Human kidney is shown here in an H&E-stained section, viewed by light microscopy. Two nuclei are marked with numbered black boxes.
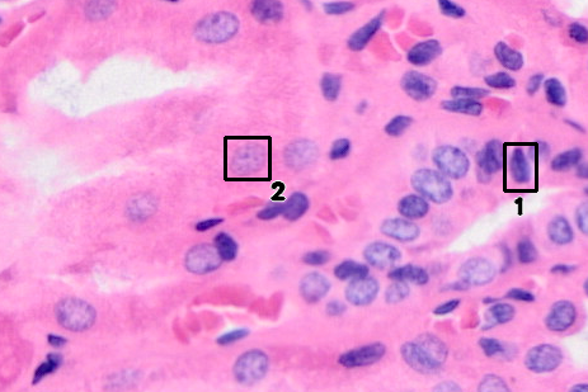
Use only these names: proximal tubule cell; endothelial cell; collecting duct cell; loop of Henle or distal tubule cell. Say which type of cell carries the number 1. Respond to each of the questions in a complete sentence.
Heads up, the cell numbered 1 is a collecting duct cell.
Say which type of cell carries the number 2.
Cell 2, as marked in the section, is a proximal tubule cell.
